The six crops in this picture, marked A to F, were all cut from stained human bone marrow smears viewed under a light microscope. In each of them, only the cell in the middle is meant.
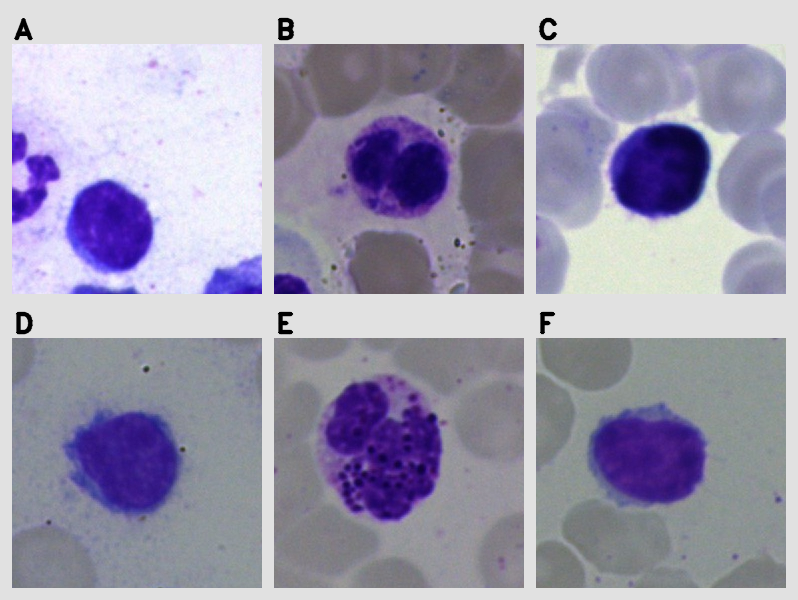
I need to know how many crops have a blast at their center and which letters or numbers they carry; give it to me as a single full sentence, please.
The absence of blasts from all crops means the count is zero.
